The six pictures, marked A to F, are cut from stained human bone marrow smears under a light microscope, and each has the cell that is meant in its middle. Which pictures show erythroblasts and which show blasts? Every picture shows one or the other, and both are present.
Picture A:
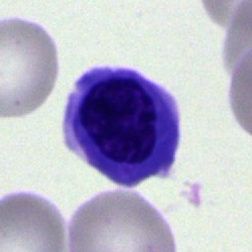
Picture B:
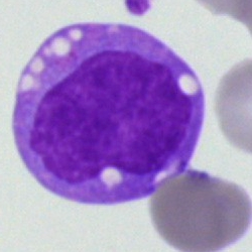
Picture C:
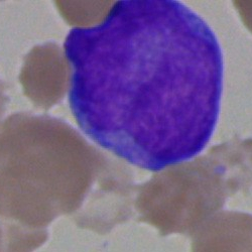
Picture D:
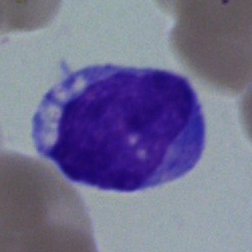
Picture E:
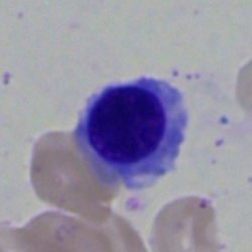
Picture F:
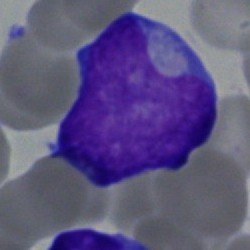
A: erythroblast
B: blast
C: blast
D: blast
E: erythroblast
F: blast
